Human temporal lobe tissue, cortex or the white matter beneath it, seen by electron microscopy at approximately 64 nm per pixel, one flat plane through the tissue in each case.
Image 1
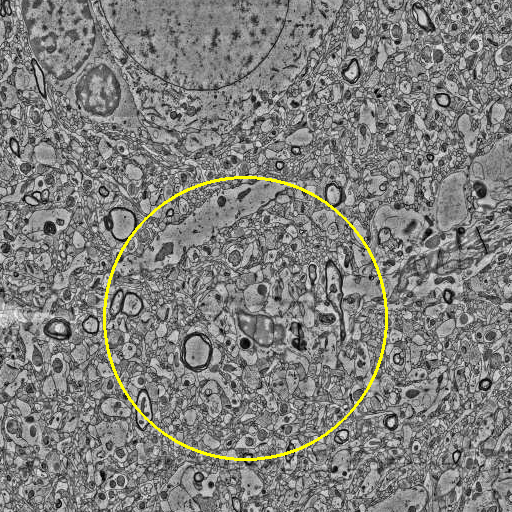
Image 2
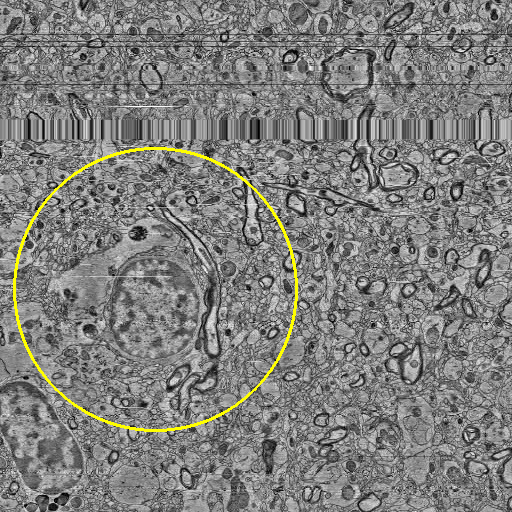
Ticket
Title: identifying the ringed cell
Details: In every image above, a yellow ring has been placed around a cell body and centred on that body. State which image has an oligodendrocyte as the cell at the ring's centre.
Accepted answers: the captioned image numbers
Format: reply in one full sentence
The ring in image 2 is centred on the cell in question.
